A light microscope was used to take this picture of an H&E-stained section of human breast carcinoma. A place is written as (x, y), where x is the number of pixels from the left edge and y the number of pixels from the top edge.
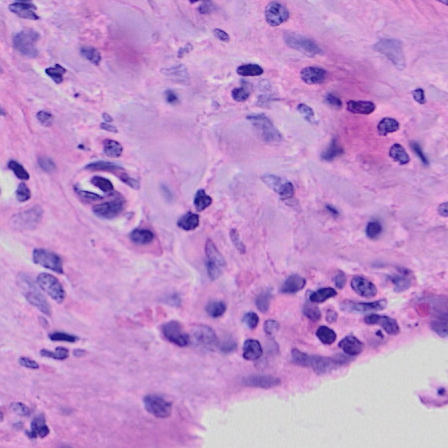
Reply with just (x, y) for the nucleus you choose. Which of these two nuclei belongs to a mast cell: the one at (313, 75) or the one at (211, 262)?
(313, 75)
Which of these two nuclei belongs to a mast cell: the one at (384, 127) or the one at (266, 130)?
(384, 127)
